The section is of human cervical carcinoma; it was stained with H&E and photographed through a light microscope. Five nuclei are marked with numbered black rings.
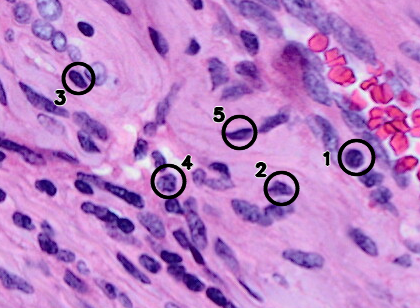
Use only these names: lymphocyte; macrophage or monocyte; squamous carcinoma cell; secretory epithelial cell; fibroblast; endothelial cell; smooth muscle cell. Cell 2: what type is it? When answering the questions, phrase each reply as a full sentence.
The marked cell bearing number 2 is a fibroblast.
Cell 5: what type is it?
The nucleus labeled 5 belongs to a fibroblast.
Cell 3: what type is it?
Belonging to a lymphocyte is the nucleus that carries the number 3.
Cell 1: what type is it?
Cell 1 of the marked set is a lymphocyte.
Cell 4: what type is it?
The nucleus labelled 4 belongs to a lymphocyte.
